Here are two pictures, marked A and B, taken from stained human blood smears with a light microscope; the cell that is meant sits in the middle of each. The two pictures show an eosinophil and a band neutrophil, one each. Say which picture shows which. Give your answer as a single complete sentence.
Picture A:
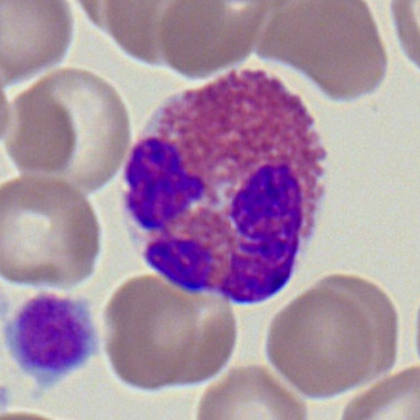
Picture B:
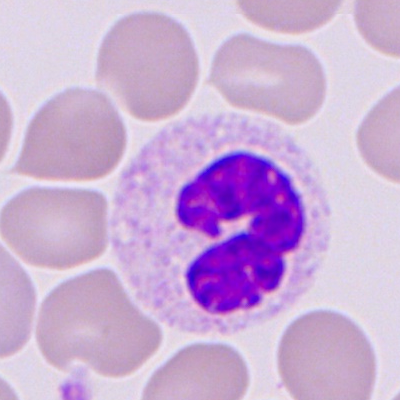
It is picture A that shows an eosinophil, and picture B that shows a band neutrophil.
